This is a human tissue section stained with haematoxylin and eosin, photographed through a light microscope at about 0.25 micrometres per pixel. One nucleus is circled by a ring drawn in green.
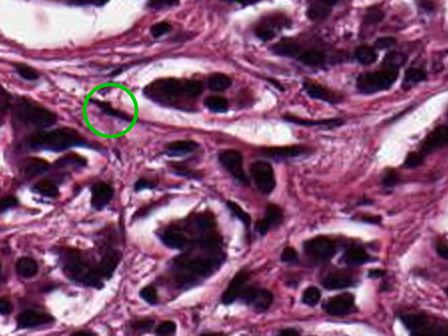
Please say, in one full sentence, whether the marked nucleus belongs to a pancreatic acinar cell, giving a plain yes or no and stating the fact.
No, instead of a pancreatic acinar cell, a supporting cell is what the marked nucleus belongs to.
